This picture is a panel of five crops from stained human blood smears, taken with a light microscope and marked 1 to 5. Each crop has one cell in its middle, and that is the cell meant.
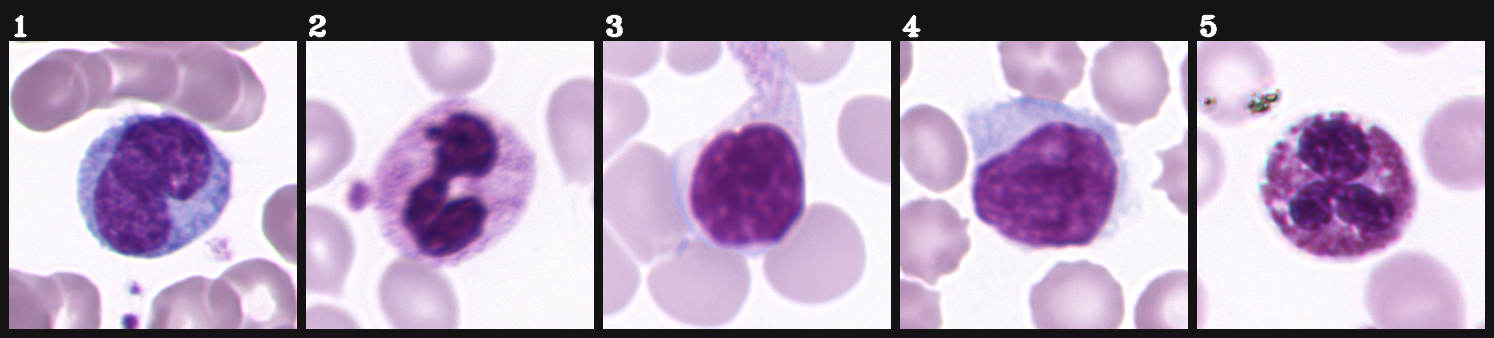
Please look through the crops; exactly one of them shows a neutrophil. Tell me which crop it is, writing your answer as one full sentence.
When the crops are compared, crop 2 is the one showing a neutrophil.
